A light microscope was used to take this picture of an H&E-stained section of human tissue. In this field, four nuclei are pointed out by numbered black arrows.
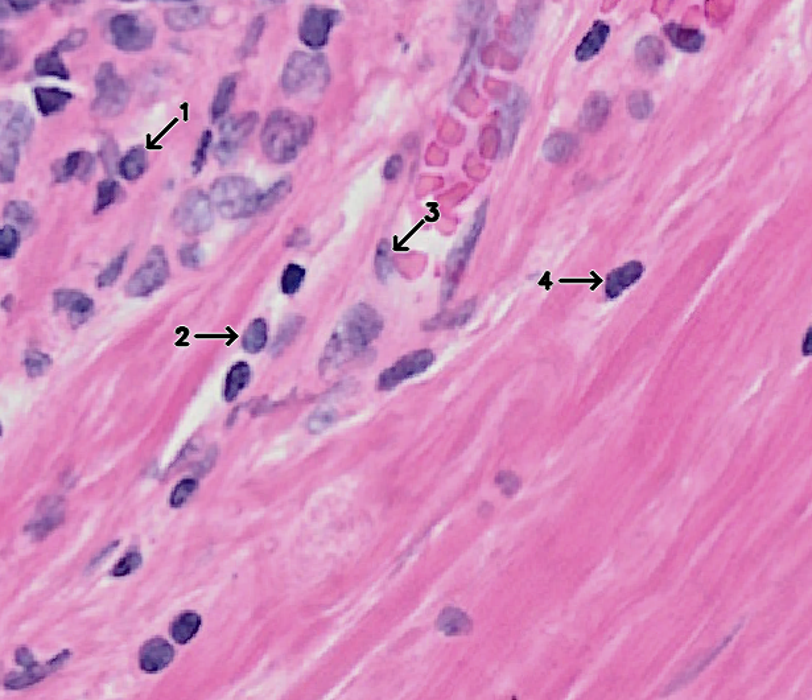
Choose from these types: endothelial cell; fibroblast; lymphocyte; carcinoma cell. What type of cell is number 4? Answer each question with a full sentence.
The correct answer for cell 4 is a lymphocyte.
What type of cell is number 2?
The nucleus labelled 2 belongs to a lymphocyte.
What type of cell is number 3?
The cell pointed out as number 3 is an endothelial cell.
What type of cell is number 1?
The nucleus labeled 1 belongs to a lymphocyte.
